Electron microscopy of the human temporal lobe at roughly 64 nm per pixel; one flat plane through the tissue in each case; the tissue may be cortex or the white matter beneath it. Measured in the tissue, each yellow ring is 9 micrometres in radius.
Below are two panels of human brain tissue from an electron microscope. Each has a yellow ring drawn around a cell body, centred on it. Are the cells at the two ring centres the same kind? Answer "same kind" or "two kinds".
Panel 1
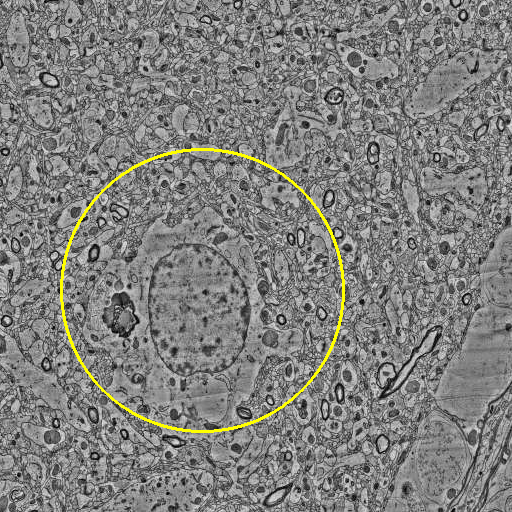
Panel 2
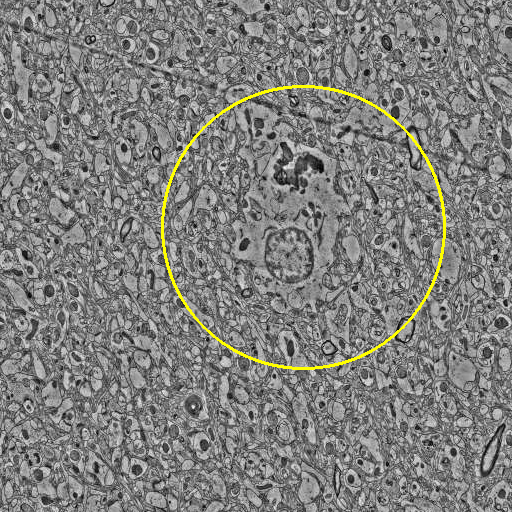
same kind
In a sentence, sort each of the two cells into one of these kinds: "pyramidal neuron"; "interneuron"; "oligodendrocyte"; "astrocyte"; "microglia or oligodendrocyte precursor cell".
The second cell is an astrocyte, just as the first is.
